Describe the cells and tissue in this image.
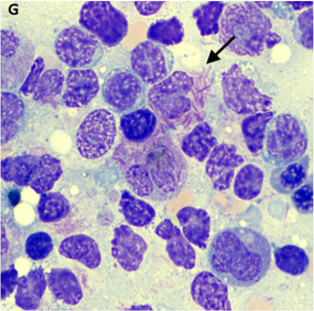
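This bone marrow aspirate smear is crowded with large immature myeloid cells, abnormal promyelocytes, lying among a few small lymphocytes. The abnormal cells have large, often folded or indented nuclei with finely dispersed chromatin and a moderate rim of pale to purplish cytoplasm. One cell holds a bundle of many thin pink-purple rods in its cytoplasm, the Auer rods. Scattered among them are smaller round cells with dense, dark nuclei and scant cytoplasm, the mature-looking lymphocytes. A few pale pink red cells and clear fat vacuoles lie between the cells.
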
